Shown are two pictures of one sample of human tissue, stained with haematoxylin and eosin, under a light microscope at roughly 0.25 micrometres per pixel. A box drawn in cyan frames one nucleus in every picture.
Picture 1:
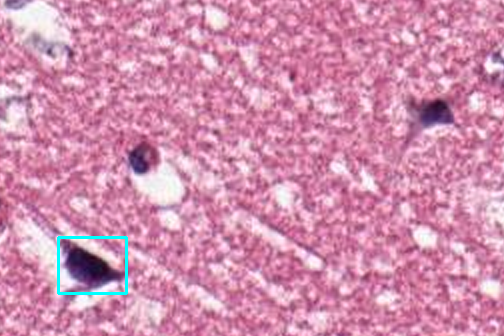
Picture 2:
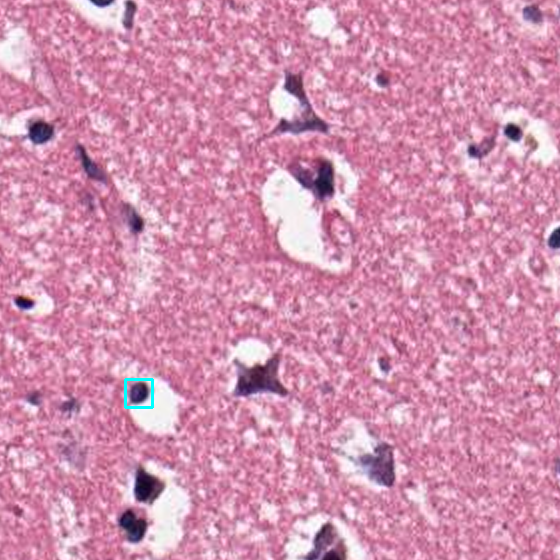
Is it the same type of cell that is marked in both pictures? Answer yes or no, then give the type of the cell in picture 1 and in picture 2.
No, the first is a neuron and the second an oligodendrocyte.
